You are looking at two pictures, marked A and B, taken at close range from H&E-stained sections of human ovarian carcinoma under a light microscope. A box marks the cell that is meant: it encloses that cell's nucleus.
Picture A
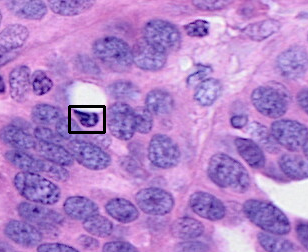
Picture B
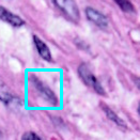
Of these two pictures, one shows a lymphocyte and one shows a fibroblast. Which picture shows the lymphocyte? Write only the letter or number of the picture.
A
